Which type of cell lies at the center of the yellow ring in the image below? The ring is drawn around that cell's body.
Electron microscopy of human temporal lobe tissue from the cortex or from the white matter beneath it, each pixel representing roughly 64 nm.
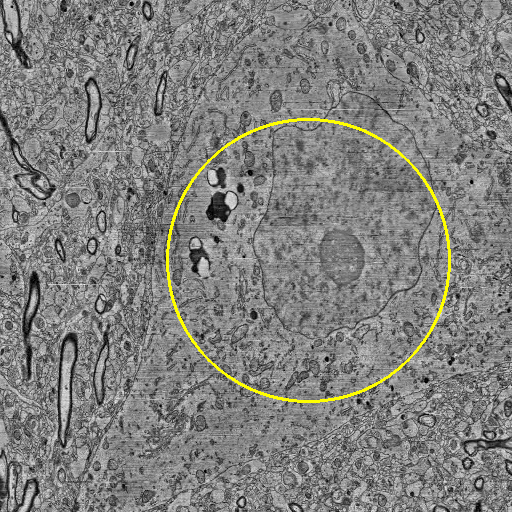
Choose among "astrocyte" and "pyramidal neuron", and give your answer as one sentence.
The cell body at the center belongs to a pyramidal neuron.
